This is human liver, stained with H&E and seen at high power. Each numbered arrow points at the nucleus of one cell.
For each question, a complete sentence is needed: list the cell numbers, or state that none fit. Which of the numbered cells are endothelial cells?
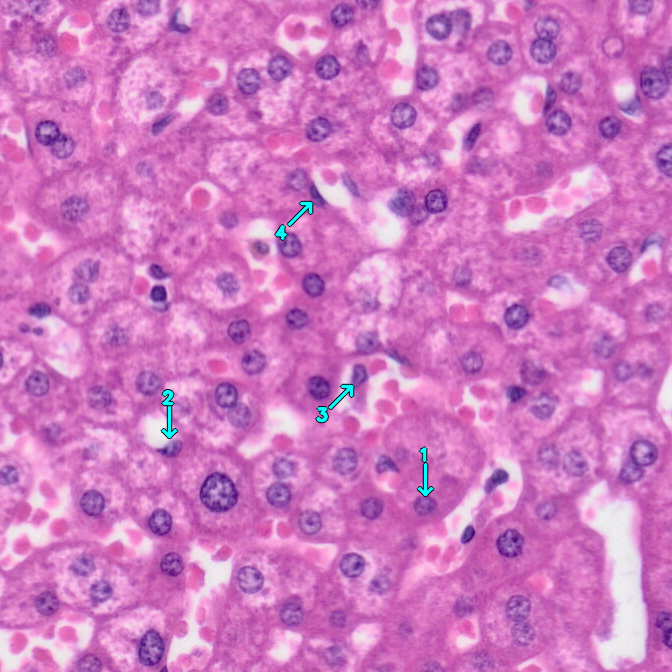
Cells 2 and 4 in the section are typed as endothelial cells.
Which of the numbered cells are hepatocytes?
With the exception of cell 1, no marked cell is a hepatocyte.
